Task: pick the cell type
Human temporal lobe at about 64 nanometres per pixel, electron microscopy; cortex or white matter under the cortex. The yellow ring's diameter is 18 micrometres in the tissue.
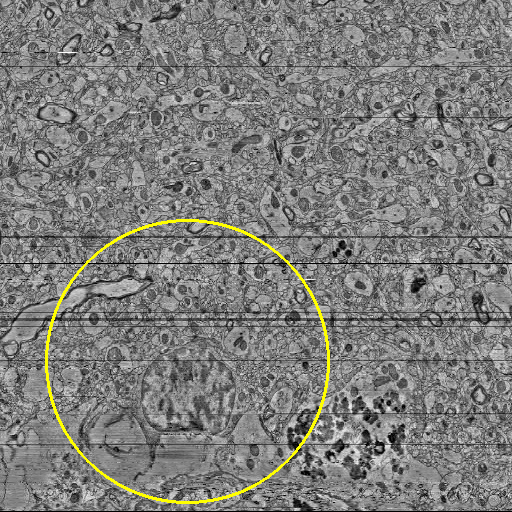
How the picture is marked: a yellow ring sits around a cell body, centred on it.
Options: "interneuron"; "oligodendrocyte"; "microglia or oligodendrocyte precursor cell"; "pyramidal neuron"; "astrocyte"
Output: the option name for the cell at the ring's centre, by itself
oligodendrocyte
